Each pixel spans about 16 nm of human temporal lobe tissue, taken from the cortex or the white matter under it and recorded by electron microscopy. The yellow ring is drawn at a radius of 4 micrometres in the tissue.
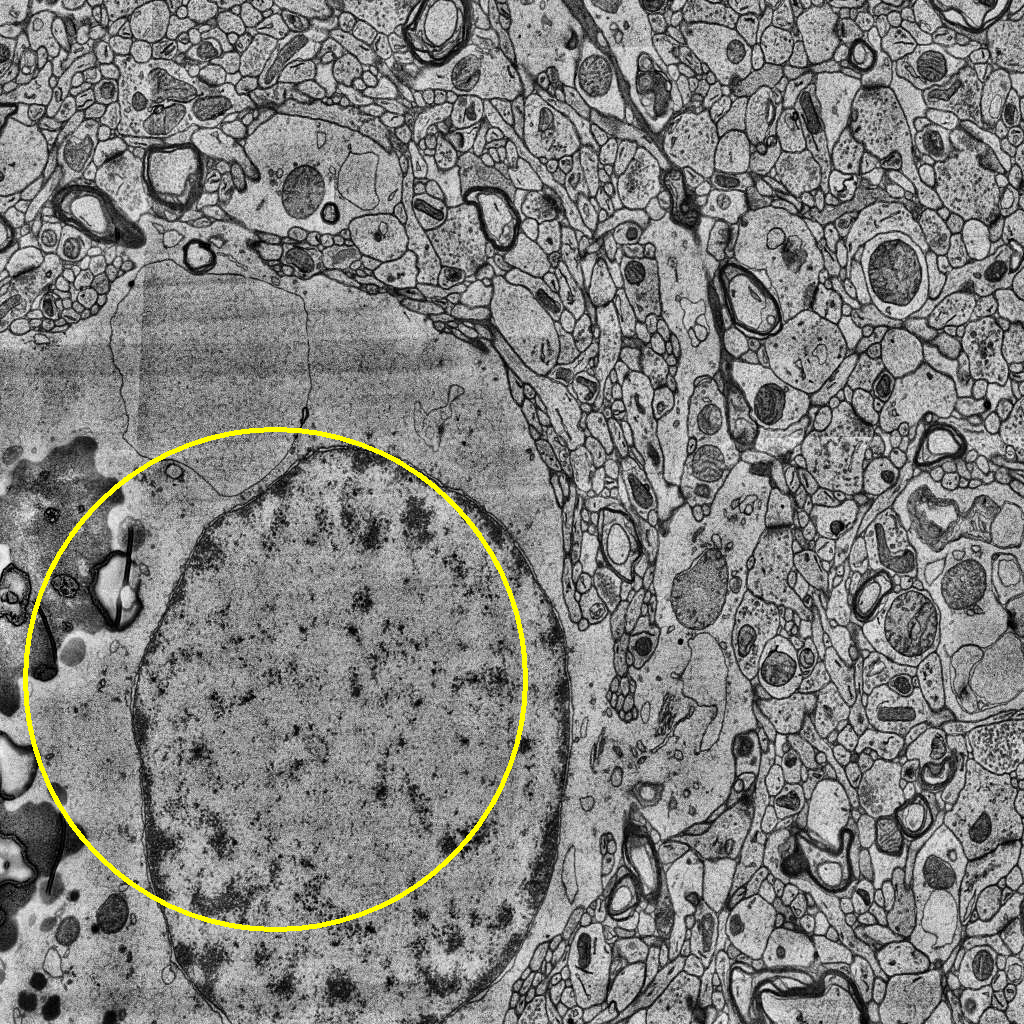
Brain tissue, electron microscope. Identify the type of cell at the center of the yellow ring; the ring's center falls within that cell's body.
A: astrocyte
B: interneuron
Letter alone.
A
